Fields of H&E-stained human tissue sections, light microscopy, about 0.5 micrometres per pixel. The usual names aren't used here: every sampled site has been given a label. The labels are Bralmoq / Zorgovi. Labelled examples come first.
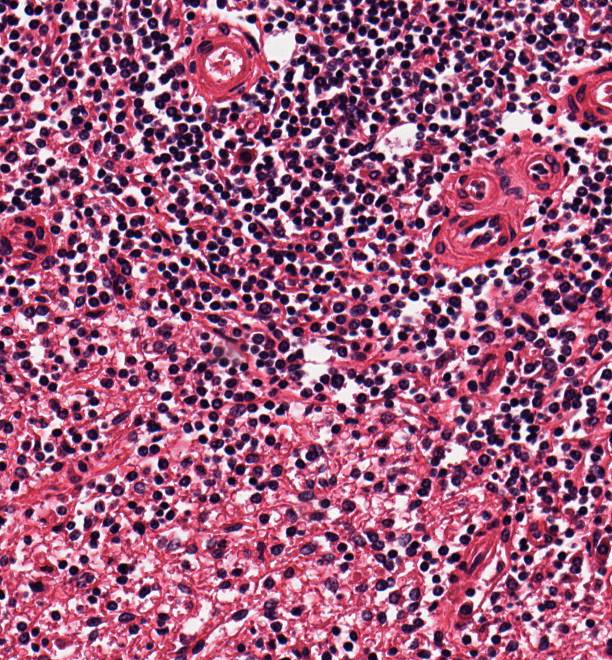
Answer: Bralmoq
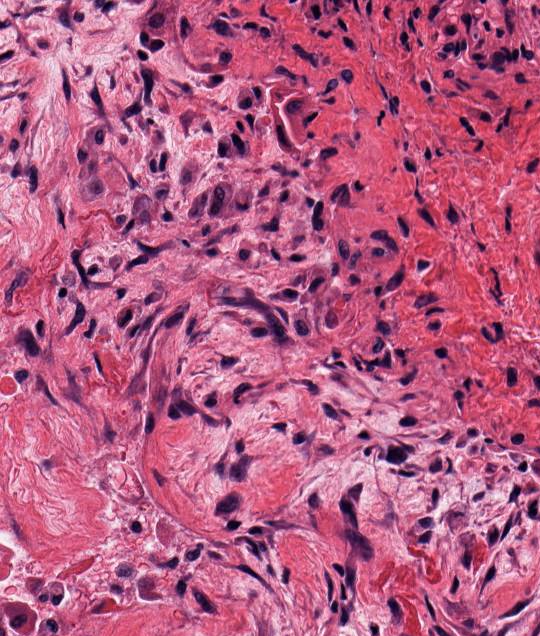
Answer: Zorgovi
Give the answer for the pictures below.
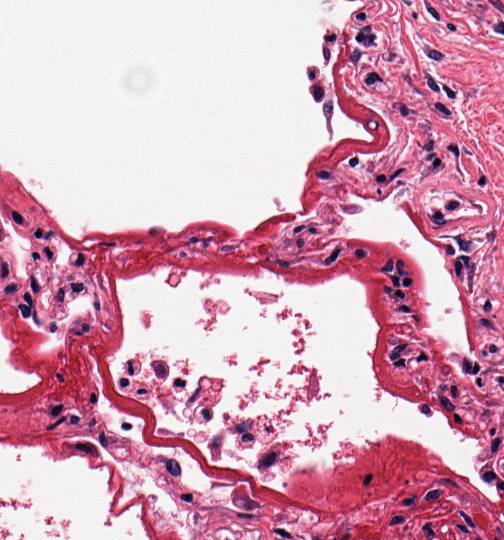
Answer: Zorgovi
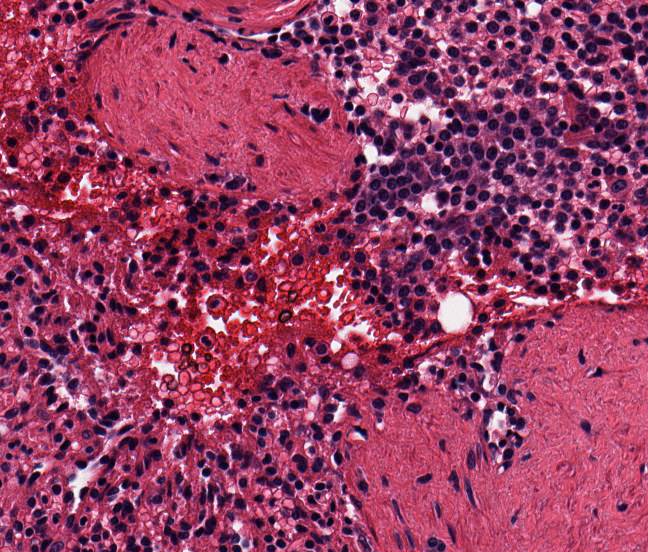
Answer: Bralmoq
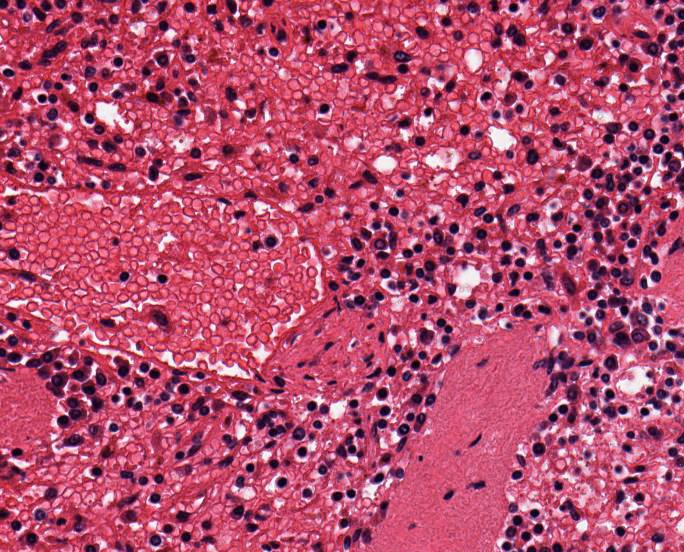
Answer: Bralmoq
